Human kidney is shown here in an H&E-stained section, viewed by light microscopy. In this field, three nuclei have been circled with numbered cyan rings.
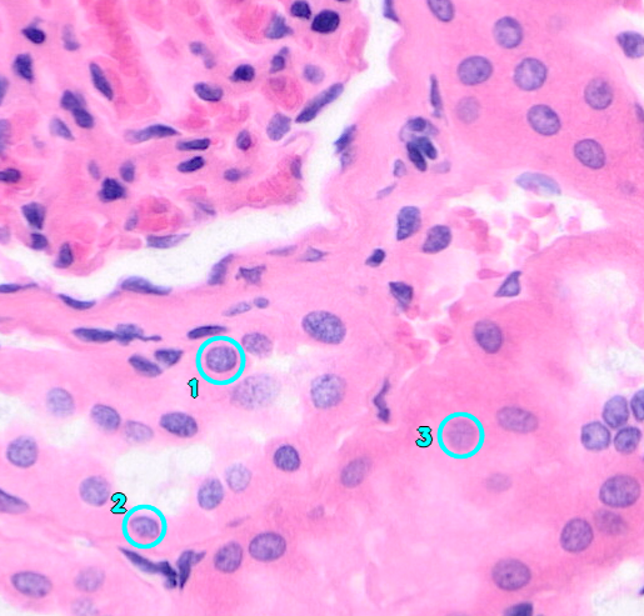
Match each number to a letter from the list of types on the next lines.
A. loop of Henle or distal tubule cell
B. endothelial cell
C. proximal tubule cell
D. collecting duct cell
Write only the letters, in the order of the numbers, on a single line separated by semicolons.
A; A; C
